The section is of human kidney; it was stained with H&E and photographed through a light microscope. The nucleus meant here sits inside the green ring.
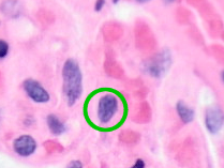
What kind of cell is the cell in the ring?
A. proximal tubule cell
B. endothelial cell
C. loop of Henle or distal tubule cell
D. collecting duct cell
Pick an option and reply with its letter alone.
B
